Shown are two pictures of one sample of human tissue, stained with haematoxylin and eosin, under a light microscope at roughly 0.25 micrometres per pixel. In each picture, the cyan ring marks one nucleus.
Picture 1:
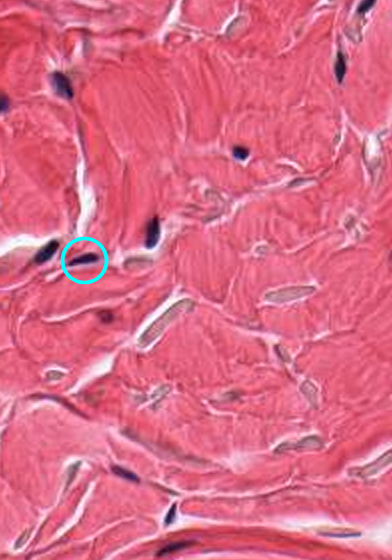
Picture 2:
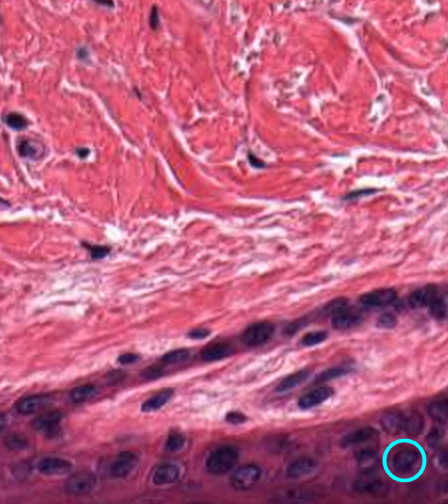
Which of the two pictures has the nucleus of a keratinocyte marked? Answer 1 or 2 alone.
2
